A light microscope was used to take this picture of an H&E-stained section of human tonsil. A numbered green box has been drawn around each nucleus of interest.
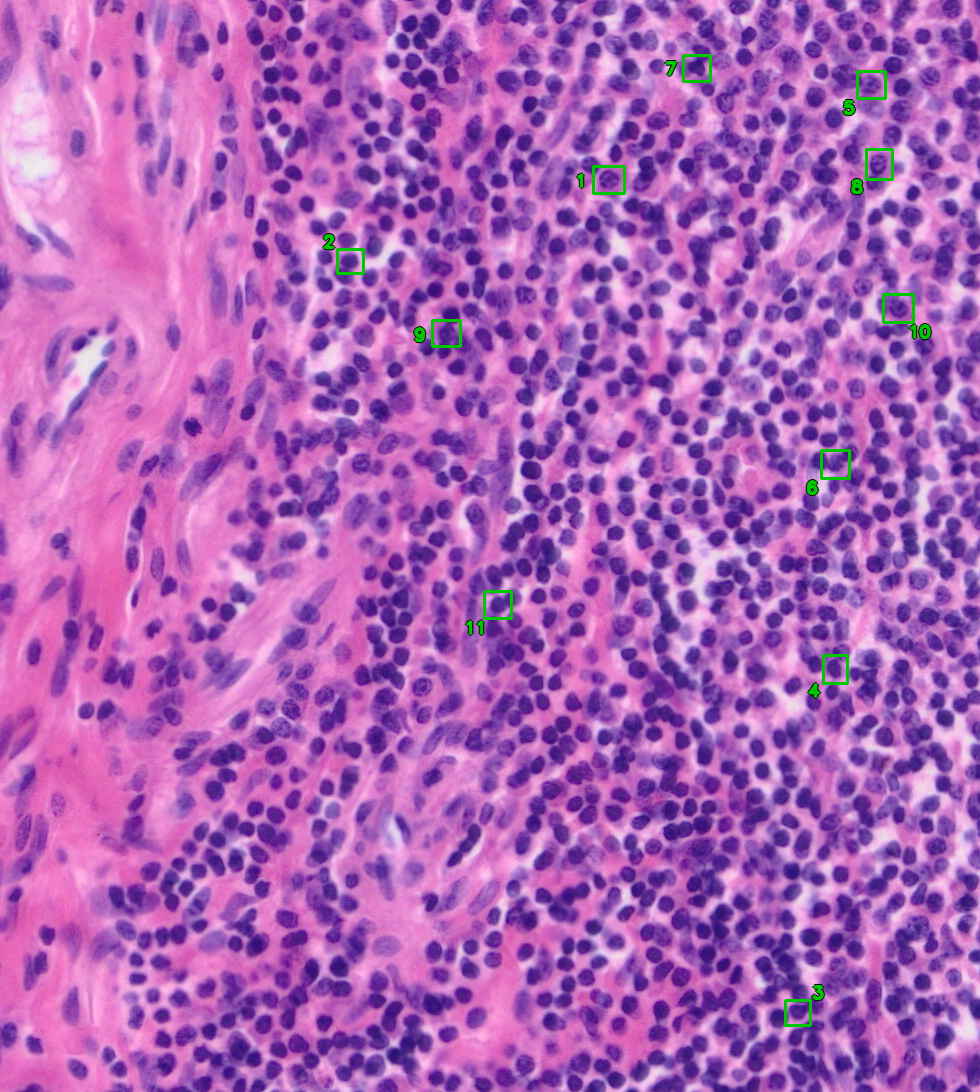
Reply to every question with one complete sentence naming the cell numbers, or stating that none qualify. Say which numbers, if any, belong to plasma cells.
When it comes to cells 1, 5, 8, 9 and 10, they are plasma cells.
